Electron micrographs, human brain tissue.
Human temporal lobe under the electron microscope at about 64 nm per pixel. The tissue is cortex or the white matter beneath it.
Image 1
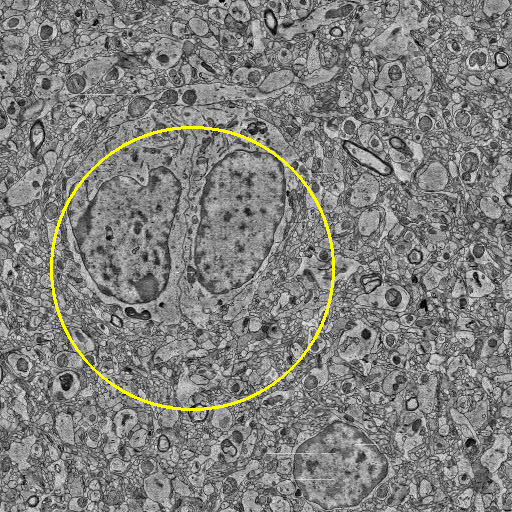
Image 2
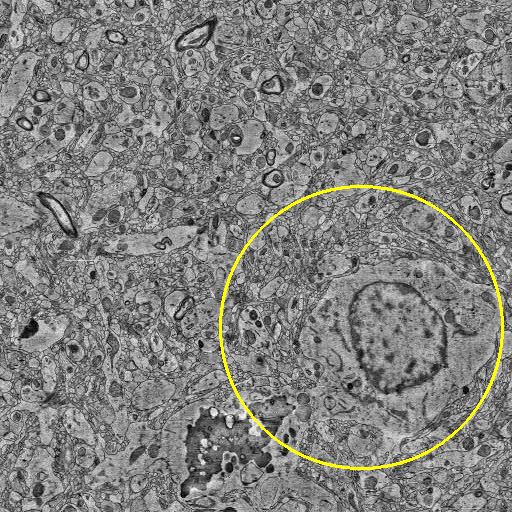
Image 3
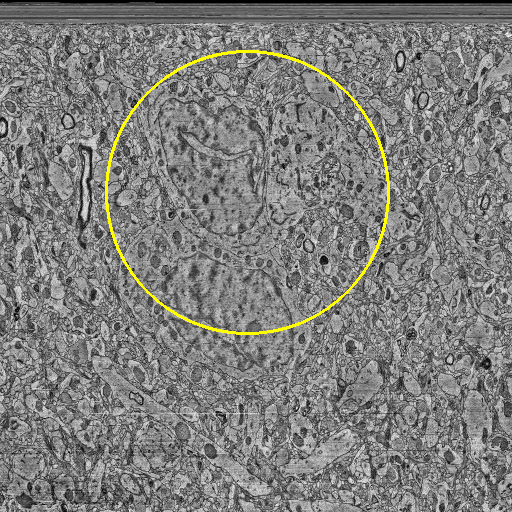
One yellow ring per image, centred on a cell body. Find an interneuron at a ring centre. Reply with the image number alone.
3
